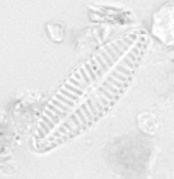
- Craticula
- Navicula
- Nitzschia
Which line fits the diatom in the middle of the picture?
Navicula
